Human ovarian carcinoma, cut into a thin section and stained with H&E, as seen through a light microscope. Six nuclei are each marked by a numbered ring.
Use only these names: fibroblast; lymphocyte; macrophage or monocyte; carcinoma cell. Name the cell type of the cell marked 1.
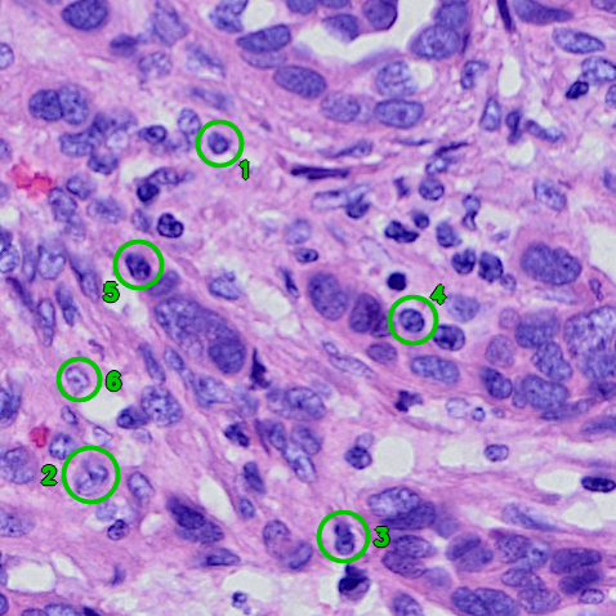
lymphocyte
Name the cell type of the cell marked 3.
lymphocyte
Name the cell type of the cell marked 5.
lymphocyte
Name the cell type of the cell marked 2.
fibroblast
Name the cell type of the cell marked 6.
fibroblast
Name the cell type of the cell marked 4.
lymphocyte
